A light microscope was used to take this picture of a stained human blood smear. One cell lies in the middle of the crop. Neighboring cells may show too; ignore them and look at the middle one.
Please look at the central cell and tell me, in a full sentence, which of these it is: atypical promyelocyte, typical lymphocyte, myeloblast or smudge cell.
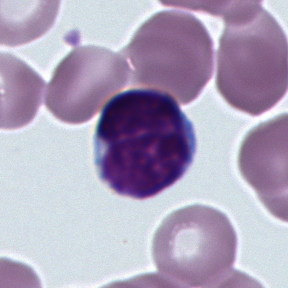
In the crop, the cell of interest at the centre is a typical lymphocyte.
